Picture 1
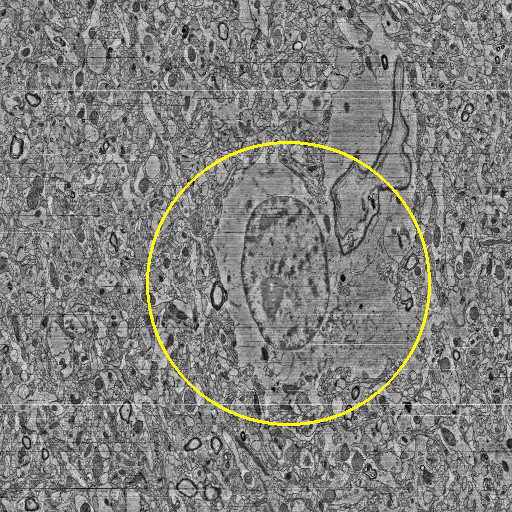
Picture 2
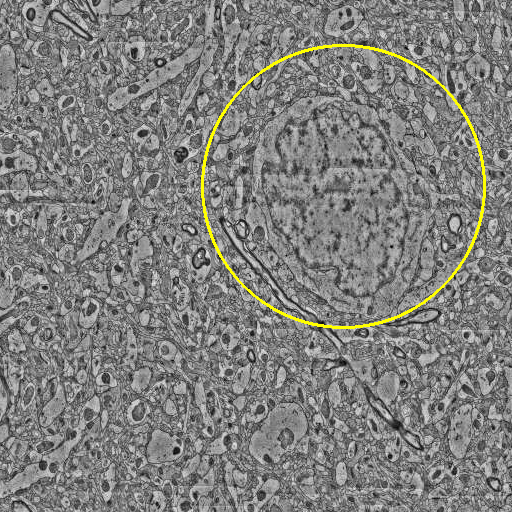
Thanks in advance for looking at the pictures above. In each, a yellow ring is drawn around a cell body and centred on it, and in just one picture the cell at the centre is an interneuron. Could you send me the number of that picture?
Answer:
2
